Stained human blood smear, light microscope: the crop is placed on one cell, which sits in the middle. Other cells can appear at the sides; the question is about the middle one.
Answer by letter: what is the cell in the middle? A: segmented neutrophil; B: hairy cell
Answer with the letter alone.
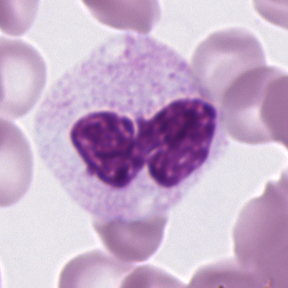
A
